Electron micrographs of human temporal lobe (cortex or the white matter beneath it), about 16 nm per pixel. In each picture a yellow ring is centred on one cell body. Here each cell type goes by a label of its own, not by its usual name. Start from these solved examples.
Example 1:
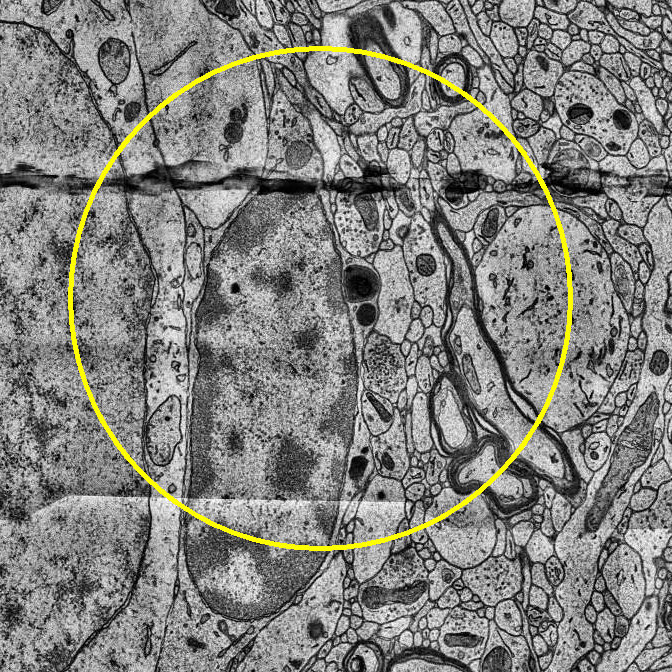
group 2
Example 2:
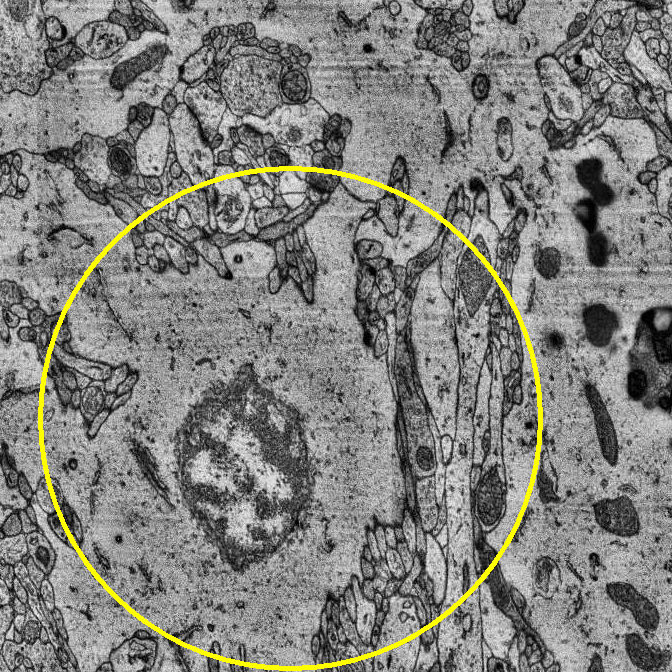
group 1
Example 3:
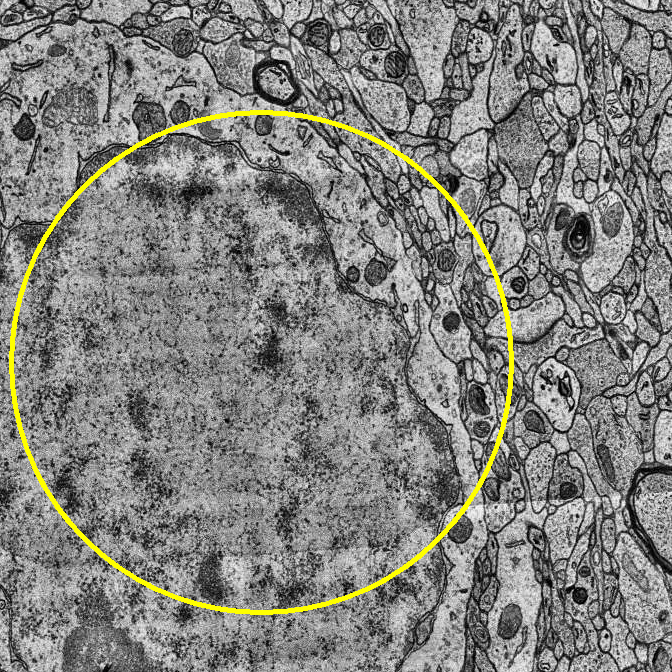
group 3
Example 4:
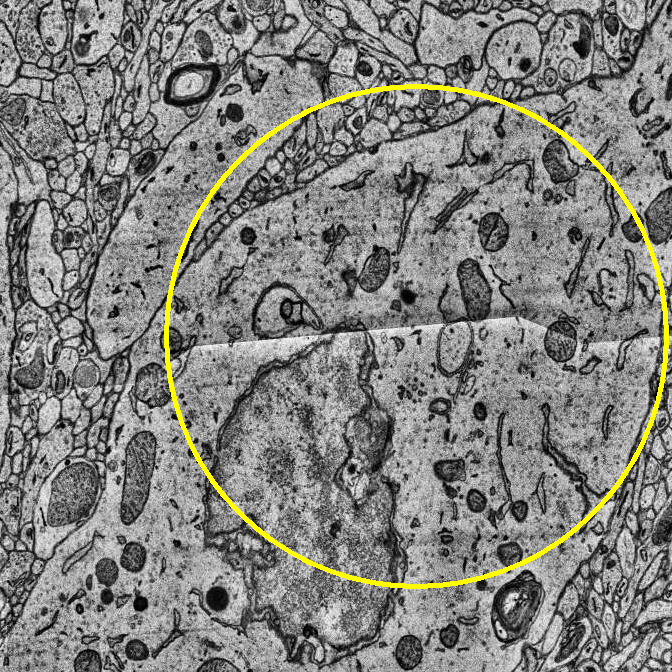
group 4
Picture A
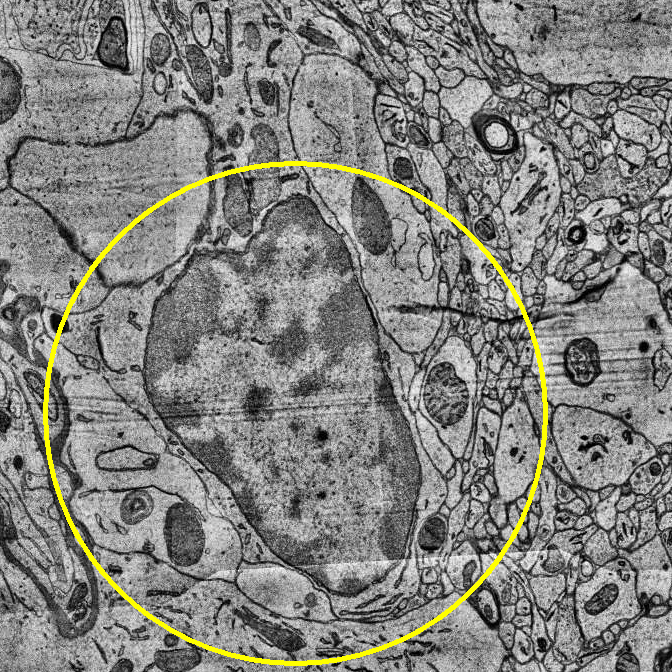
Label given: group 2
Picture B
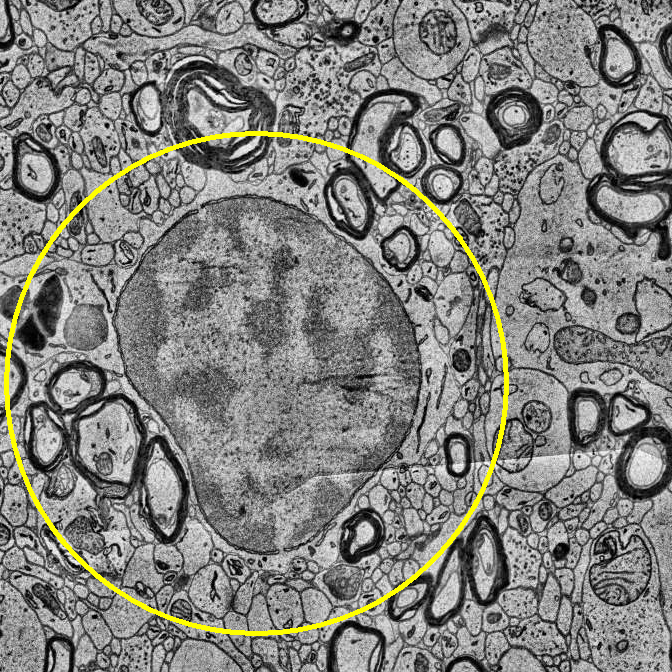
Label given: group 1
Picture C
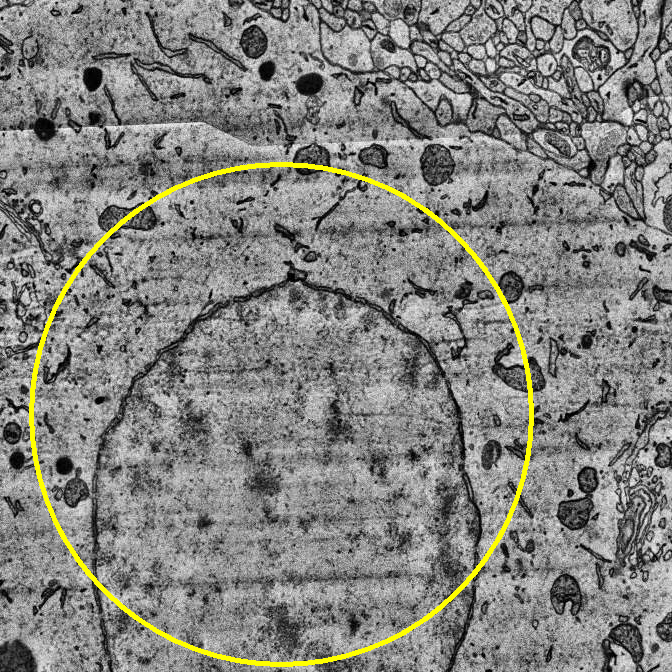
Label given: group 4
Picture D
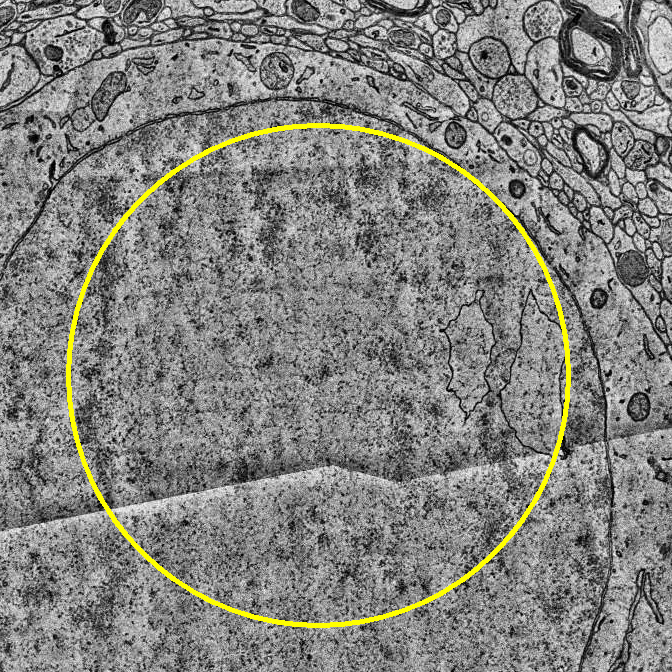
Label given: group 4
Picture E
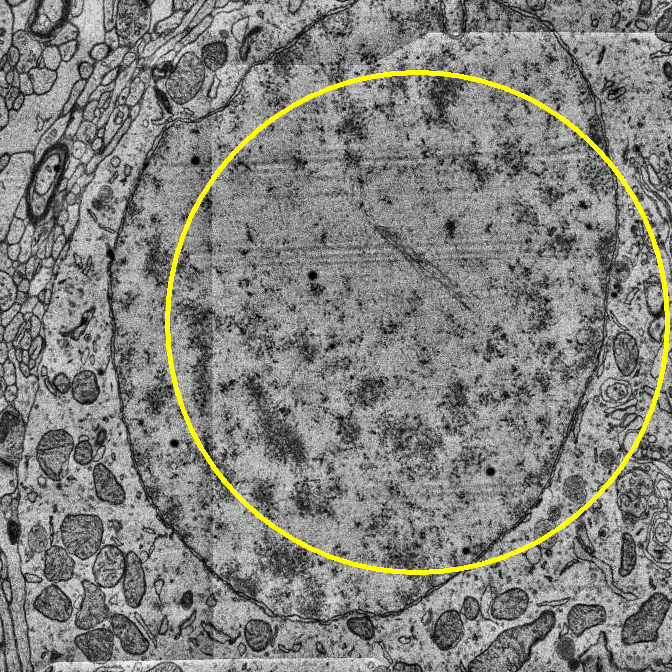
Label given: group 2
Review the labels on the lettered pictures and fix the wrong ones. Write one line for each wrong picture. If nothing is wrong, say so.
Wrong: B (group 1); correct: group 2
Wrong: E (group 2); correct: group 3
